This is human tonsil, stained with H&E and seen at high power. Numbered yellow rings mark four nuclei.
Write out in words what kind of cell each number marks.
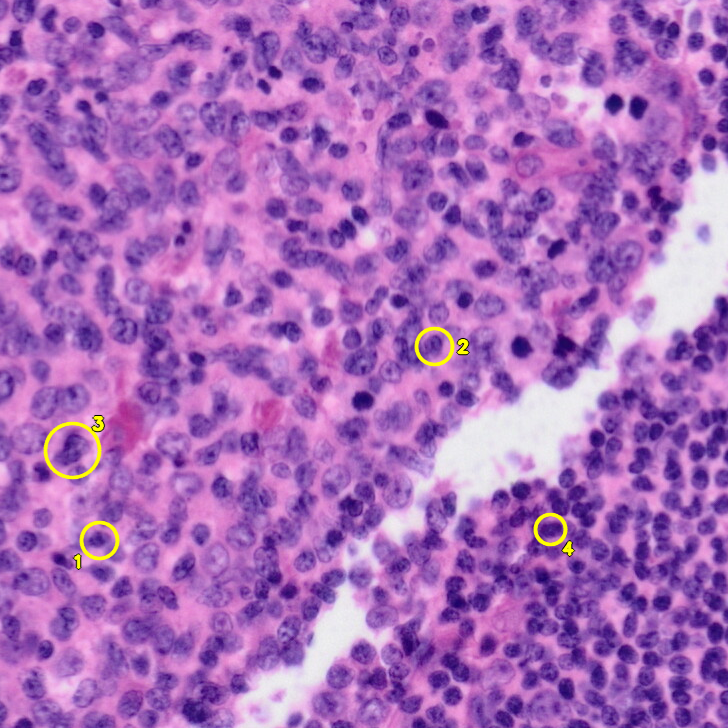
Cell 1 is a proliferating B cell, cell 2 is a proliferating B cell, cell 3 is a proliferating B cell and cell 4 is a small lymphocyte.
